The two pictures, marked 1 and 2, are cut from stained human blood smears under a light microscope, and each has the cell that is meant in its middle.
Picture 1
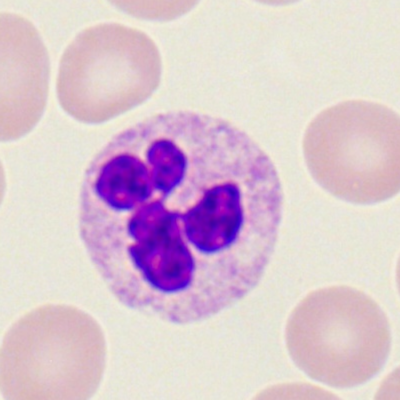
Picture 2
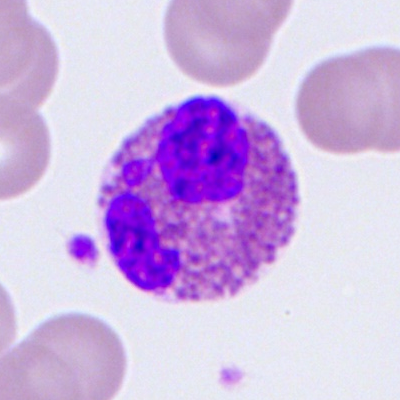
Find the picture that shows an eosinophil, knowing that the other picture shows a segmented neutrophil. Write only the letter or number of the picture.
2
